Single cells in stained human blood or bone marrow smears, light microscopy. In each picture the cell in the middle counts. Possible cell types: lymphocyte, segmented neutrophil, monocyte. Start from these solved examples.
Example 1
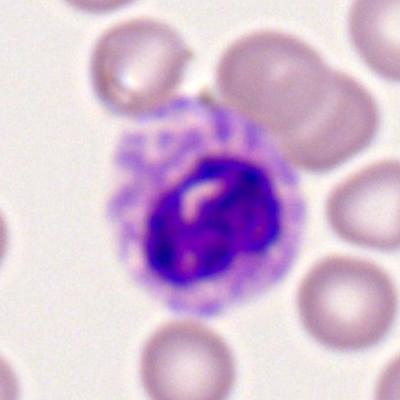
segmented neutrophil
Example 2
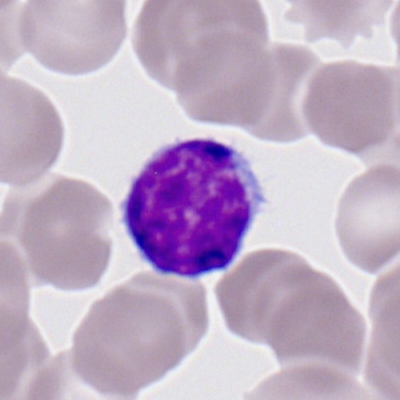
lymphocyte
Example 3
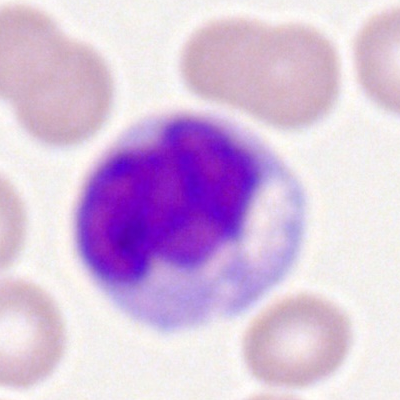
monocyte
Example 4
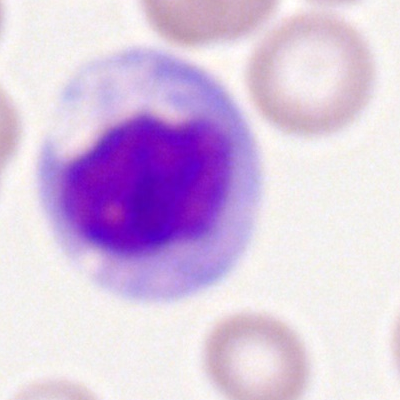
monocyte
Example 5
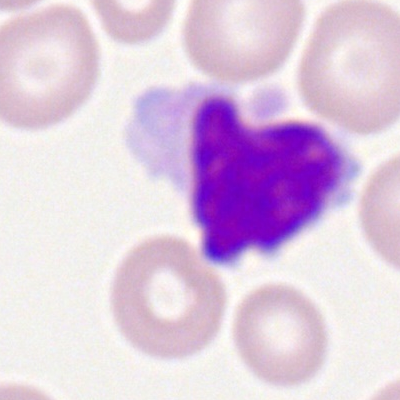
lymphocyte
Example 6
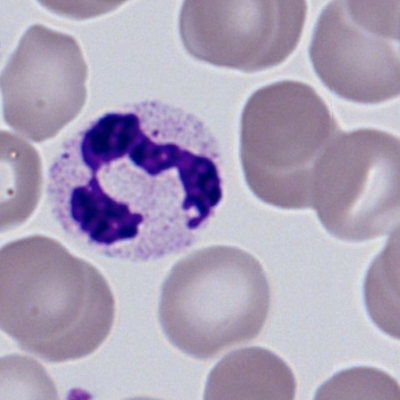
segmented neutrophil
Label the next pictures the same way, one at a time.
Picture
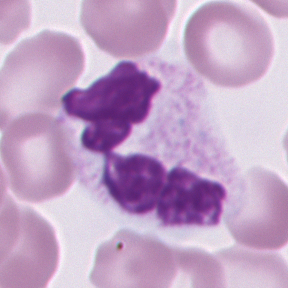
segmented neutrophil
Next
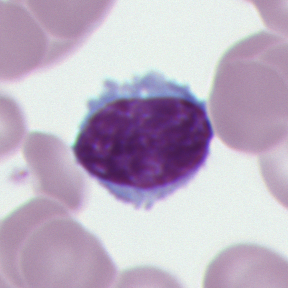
lymphocyte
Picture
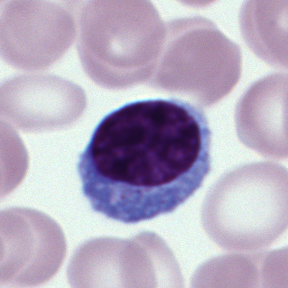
lymphocyte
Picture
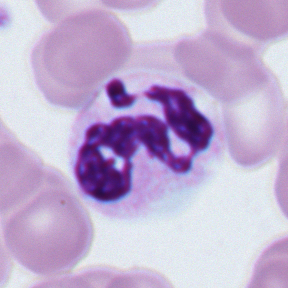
segmented neutrophil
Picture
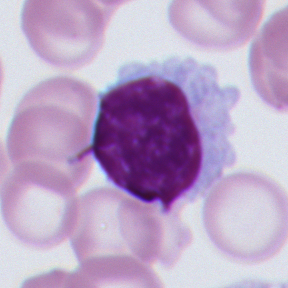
lymphocyte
